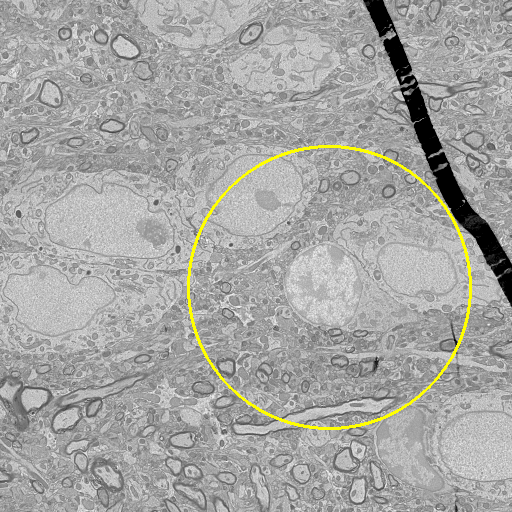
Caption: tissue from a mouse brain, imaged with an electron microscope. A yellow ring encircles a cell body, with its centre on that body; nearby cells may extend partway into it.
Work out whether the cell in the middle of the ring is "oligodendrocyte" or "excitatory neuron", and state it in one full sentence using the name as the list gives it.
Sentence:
In the picture, the cell that the yellow ring surrounds at its centre is an oligodendrocyte.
